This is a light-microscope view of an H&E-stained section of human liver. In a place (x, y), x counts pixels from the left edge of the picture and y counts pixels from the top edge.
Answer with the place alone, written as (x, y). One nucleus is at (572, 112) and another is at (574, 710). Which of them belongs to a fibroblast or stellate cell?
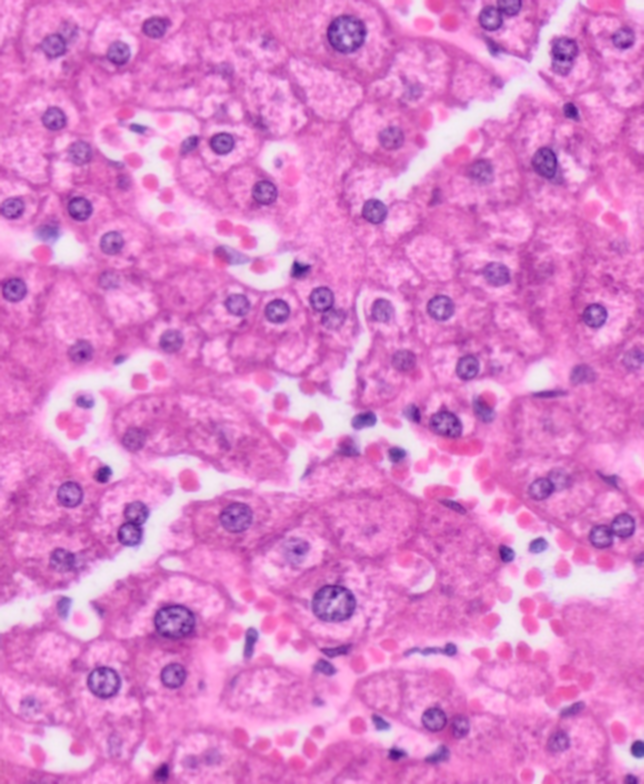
(572, 112)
